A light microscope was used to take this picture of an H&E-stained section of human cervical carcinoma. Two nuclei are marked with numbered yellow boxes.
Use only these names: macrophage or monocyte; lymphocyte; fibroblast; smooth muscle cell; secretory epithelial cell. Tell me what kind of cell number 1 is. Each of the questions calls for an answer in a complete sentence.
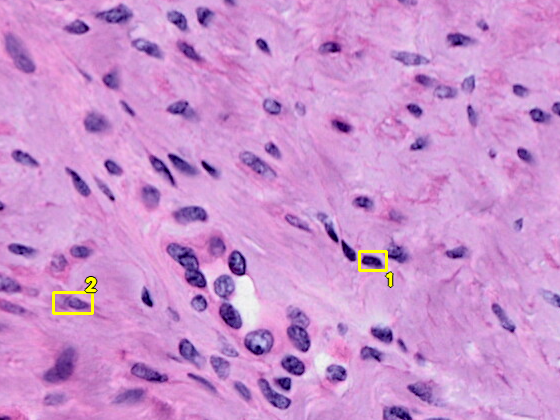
The cell referred to as 1 is a fibroblast.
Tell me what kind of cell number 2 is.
The cell pointed out as number 2 is a smooth muscle cell.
